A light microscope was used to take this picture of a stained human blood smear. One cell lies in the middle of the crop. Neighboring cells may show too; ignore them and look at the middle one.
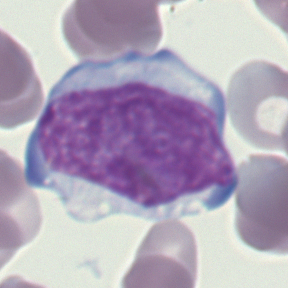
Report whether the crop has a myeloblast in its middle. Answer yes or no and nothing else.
yes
